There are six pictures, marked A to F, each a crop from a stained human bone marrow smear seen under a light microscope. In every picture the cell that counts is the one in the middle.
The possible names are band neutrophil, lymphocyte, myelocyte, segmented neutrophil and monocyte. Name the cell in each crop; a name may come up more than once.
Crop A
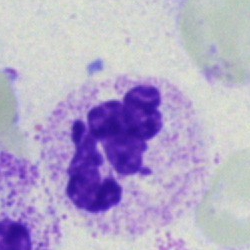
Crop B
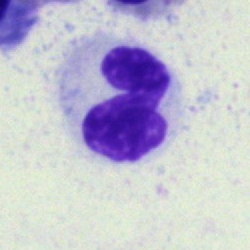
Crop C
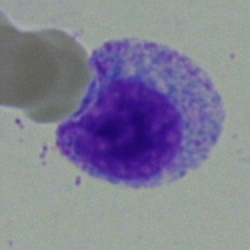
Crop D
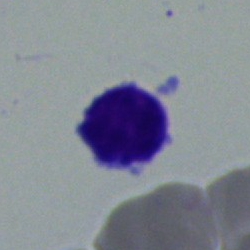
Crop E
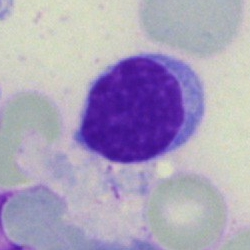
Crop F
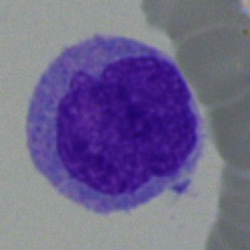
A: segmented neutrophil
B: segmented neutrophil
C: myelocyte
D: lymphocyte
E: lymphocyte
F: monocyte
